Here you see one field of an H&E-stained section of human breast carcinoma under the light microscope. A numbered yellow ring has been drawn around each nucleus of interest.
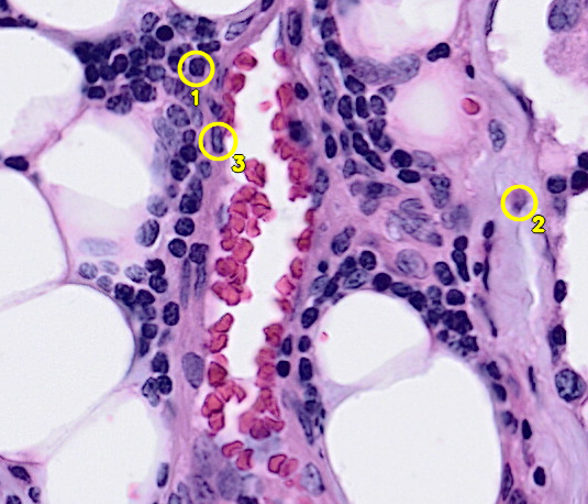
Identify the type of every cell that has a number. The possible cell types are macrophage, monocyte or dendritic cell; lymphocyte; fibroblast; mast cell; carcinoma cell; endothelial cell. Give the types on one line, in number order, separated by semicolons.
lymphocyte; mast cell; endothelial cell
